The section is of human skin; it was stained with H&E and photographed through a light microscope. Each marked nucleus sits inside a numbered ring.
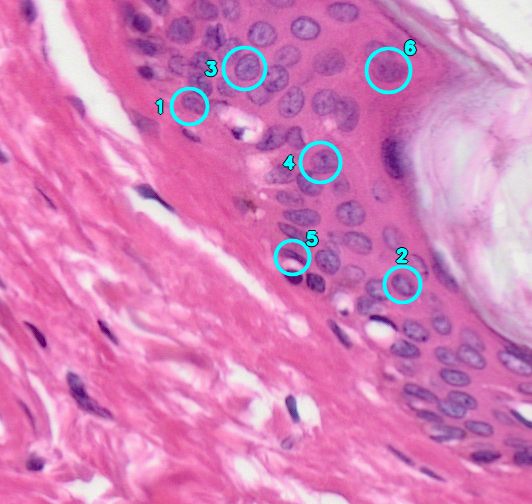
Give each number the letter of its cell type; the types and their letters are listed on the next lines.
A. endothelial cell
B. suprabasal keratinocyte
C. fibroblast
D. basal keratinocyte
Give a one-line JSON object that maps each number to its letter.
{"1": "D", "2": "B", "3": "B", "4": "B", "5": "D", "6": "B"}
